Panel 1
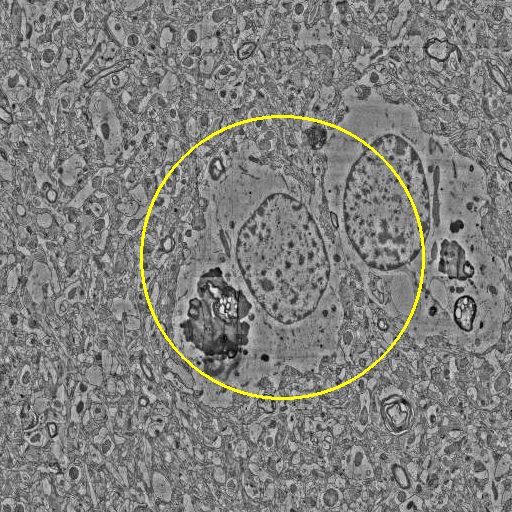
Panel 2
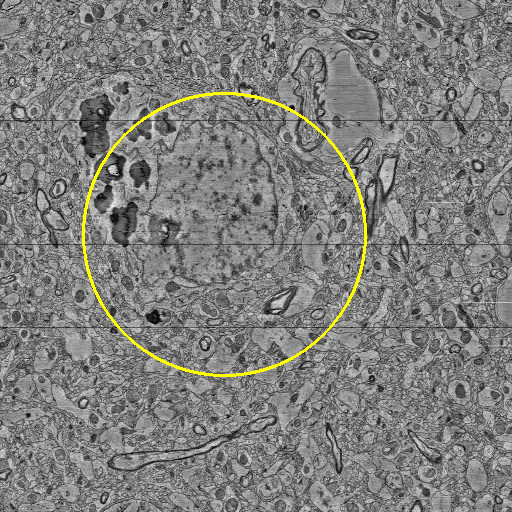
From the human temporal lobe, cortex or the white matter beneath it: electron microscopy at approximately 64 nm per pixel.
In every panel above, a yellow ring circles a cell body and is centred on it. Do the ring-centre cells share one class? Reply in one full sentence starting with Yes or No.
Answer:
No, the two cells at the ring centres in the panels belong to two classes.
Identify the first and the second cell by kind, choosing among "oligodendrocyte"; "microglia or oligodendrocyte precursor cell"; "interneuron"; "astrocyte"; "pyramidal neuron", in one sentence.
The one in the first picture is an astrocyte, while the one in the second is an interneuron.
